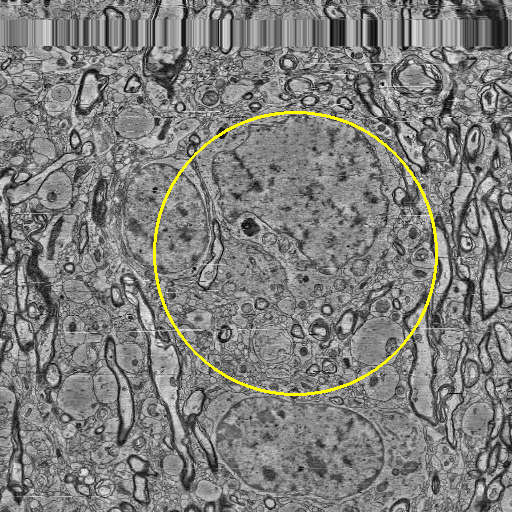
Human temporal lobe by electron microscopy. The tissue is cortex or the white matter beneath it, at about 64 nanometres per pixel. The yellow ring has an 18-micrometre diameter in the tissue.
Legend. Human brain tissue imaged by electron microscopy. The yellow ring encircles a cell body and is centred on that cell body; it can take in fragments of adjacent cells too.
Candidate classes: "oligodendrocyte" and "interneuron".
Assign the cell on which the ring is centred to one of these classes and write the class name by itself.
interneuron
